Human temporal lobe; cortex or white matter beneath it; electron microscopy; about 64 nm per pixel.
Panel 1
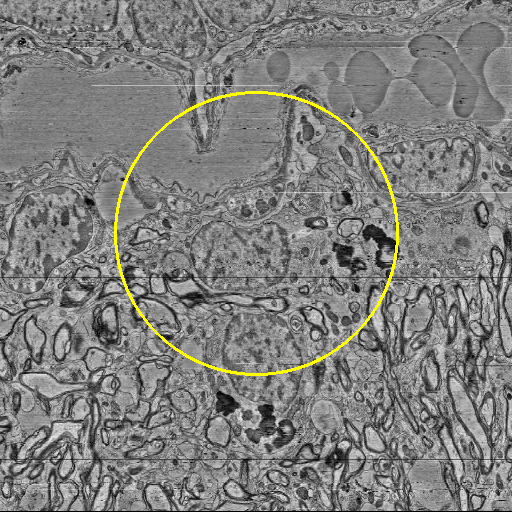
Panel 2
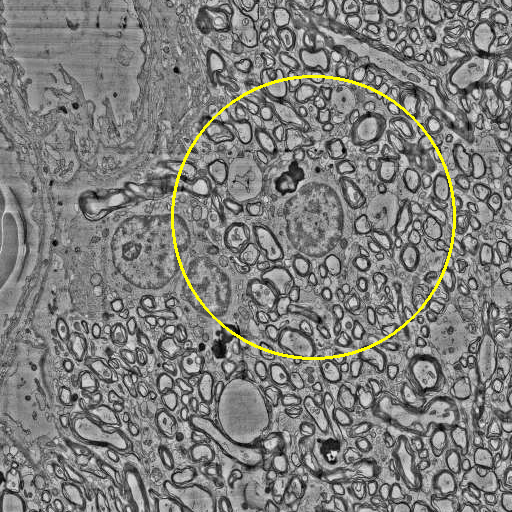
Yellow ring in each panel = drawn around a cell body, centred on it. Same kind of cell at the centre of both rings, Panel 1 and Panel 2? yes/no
yes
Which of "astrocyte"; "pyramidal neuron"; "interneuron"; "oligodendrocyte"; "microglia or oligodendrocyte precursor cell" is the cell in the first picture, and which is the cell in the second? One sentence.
Each of the two pictures has an oligodendrocyte at the ring centre.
